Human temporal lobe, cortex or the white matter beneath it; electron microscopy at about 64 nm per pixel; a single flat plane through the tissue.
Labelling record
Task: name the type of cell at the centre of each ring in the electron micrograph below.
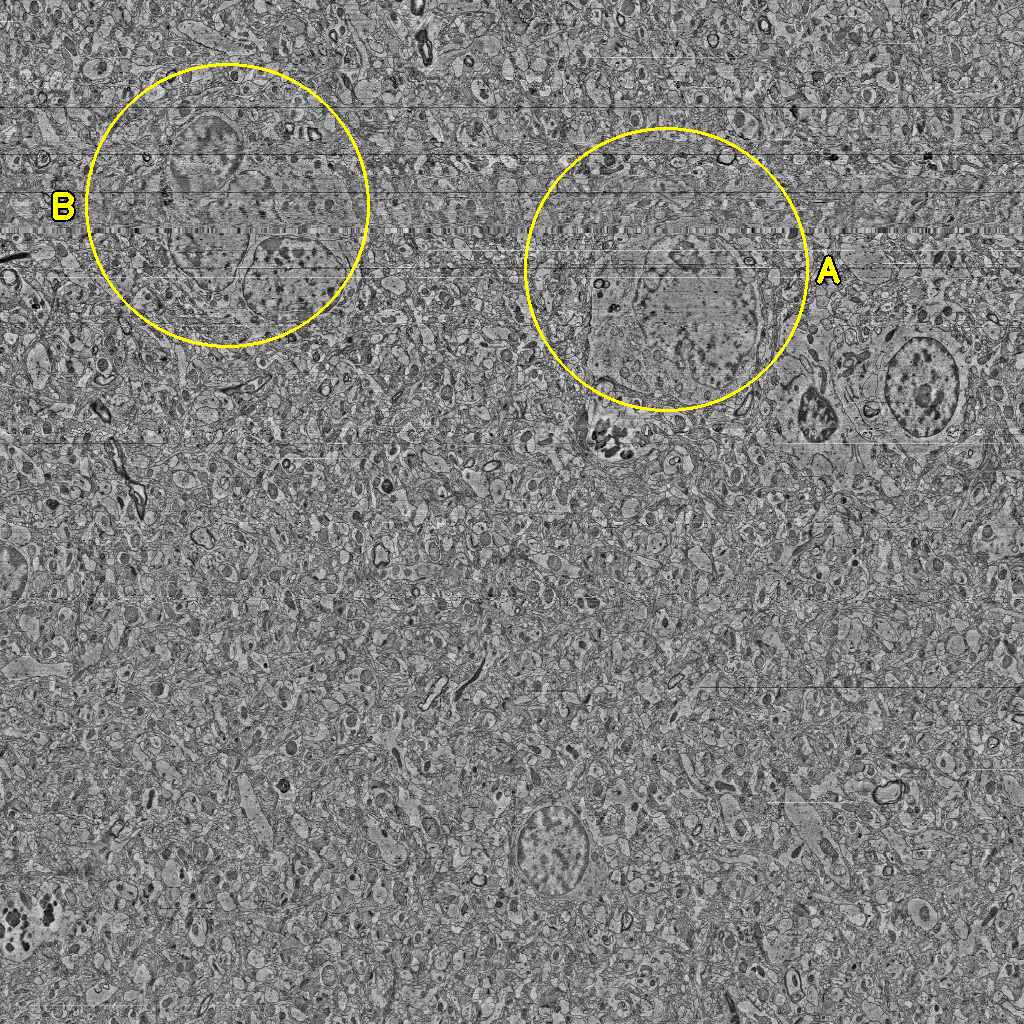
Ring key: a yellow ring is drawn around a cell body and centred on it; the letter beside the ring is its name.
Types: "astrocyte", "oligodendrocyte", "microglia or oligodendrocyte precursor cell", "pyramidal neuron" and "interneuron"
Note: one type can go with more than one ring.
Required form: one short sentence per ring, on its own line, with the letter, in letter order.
In ring A, the centred cell is an interneuron.
In ring B, the centred cell is a microglial cell or oligodendrocyte precursor cell.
